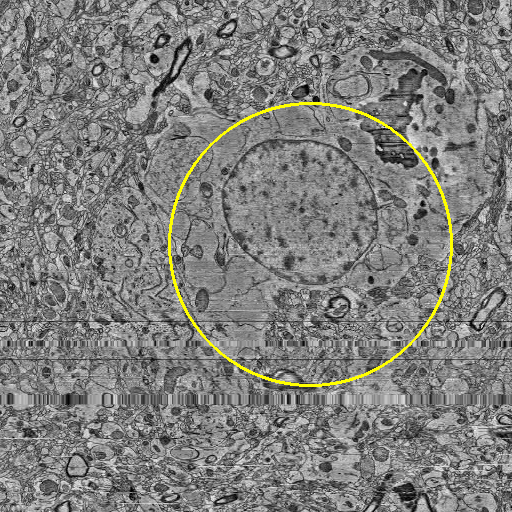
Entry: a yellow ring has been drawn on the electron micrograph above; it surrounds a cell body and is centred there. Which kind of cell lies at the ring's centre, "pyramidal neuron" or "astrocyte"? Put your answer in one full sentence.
The cell sitting at the ring's centre is an astrocyte in the micrograph above.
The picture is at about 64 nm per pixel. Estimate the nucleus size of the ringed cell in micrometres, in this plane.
The nucleus of the ringed cell is approximately 10 micrometres across in this plane.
